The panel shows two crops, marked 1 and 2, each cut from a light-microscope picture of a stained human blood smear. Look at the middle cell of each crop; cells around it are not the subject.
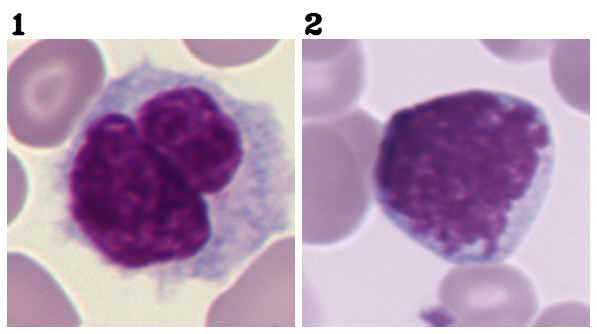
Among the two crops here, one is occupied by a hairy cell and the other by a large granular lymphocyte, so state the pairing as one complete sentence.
The crop labelled 1 is a hairy cell, and the crop labelled 2 is a large granular lymphocyte.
